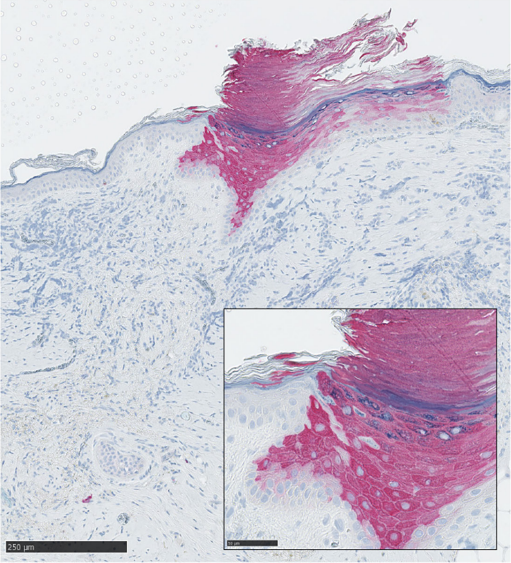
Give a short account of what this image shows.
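Skin with stratified squamous epidermis over dermis; a wedge-shaped segment of epidermis is stained red, its keratinocytes polygonal in the deeper layers and flattening upward into a thick red cornified layer. The neighbouring epidermis on either side and the dermis below are blue and unstained, with a sharp border between stained and unstained epithelium.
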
